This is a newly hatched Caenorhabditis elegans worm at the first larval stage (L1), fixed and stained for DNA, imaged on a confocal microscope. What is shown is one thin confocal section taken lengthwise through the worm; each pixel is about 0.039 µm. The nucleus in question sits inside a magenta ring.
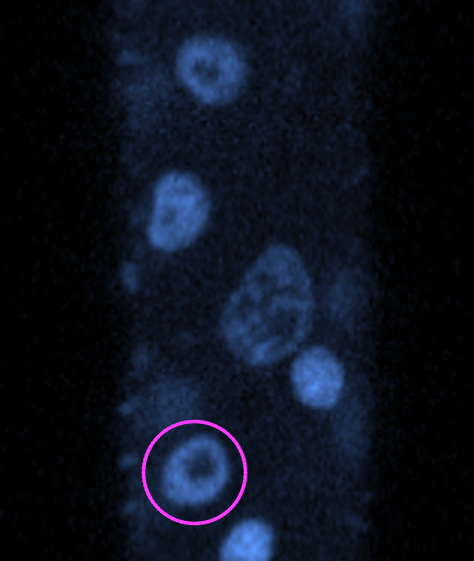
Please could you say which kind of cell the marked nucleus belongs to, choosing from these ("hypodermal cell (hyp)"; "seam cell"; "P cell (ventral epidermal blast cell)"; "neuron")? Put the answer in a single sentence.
It belongs to a seam cell.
